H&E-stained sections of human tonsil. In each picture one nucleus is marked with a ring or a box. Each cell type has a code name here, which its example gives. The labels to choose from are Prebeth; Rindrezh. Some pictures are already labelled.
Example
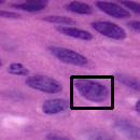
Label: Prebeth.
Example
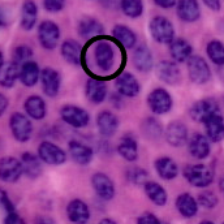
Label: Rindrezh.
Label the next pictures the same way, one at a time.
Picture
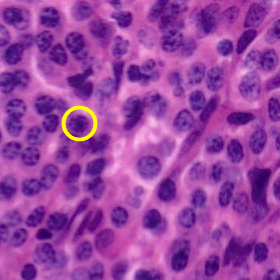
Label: Rindrezh.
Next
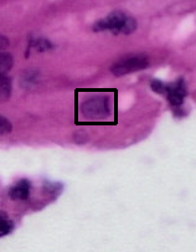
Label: Prebeth.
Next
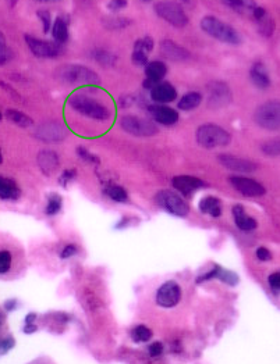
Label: Prebeth.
